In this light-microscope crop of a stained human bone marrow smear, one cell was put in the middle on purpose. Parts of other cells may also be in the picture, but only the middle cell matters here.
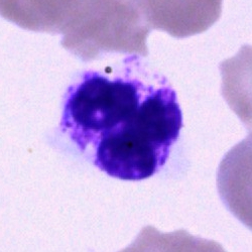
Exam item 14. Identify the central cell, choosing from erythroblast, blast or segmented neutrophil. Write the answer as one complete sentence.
The crop shows a segmented neutrophil in its centre.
